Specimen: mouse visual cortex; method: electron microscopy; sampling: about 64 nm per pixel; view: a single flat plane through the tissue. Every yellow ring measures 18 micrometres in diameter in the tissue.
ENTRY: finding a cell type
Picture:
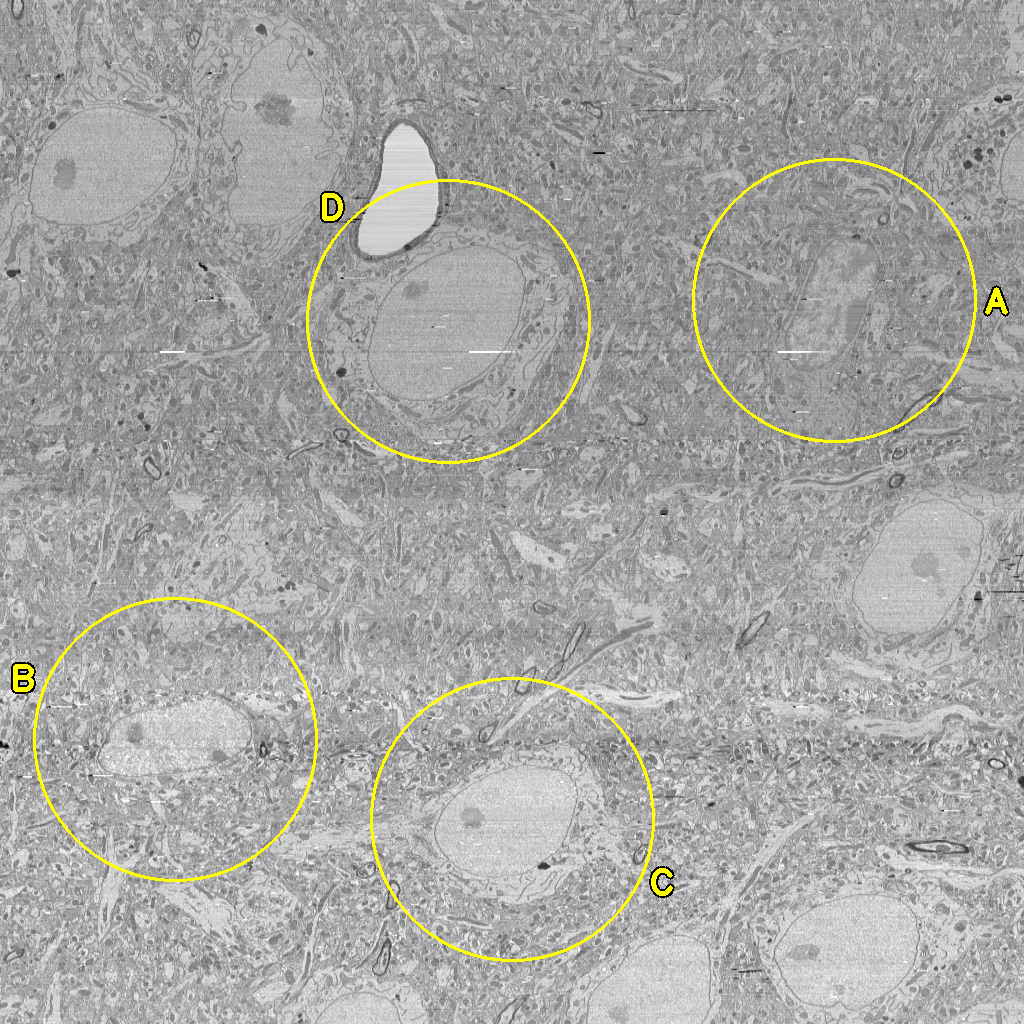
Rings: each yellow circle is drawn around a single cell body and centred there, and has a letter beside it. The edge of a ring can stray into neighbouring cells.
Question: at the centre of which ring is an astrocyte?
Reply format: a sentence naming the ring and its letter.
The answer is ring B, the one centred on the cell asked for.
